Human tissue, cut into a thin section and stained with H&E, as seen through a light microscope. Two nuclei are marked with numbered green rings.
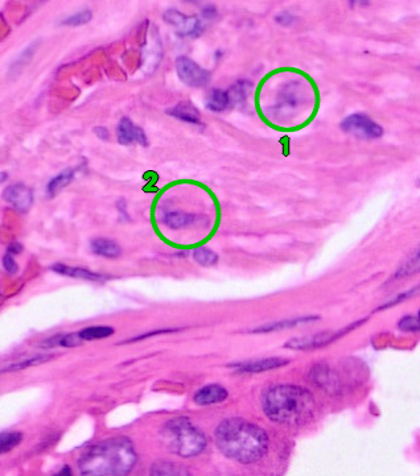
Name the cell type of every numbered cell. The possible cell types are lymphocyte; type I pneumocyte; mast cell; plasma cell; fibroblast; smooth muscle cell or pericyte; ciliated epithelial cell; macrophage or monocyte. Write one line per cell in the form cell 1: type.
cell 1: fibroblast
cell 2: smooth muscle cell or pericyte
